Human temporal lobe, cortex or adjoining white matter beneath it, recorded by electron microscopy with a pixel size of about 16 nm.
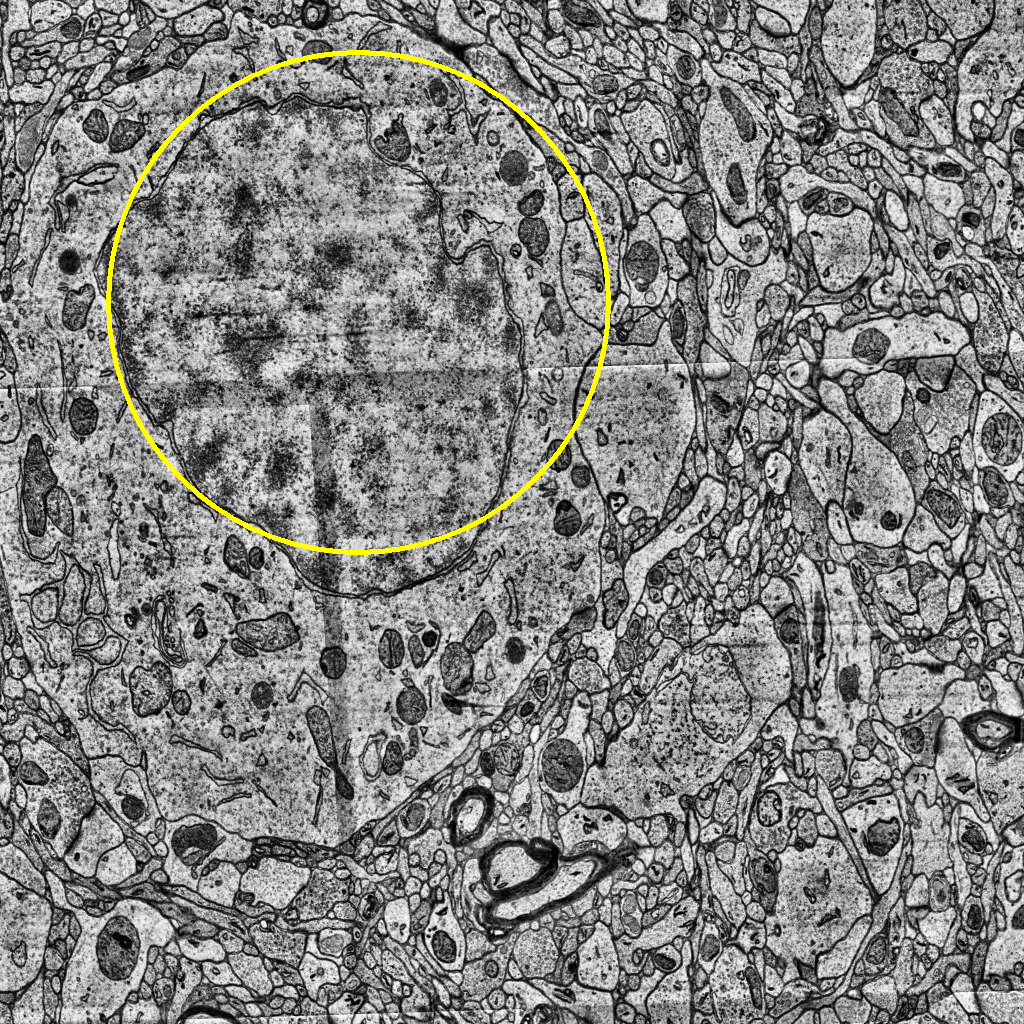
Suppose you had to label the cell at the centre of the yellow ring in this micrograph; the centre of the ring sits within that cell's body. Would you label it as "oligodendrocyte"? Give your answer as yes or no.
No, I would label it as another kind.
